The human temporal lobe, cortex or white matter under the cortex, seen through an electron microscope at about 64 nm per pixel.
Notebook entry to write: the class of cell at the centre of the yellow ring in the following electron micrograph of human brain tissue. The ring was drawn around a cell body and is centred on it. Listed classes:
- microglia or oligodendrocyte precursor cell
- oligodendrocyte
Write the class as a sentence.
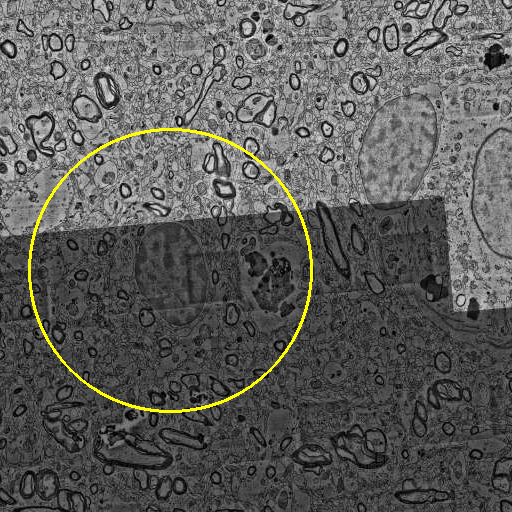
The yellow ring sits on a microglial cell or oligodendrocyte precursor cell.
